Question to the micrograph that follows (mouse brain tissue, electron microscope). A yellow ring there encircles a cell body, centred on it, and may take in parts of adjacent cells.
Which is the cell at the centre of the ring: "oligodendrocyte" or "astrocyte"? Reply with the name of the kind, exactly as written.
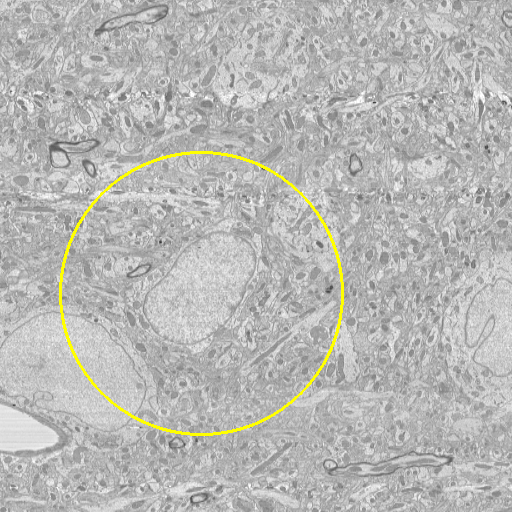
astrocyte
